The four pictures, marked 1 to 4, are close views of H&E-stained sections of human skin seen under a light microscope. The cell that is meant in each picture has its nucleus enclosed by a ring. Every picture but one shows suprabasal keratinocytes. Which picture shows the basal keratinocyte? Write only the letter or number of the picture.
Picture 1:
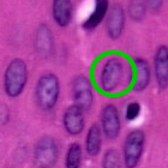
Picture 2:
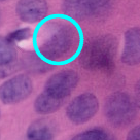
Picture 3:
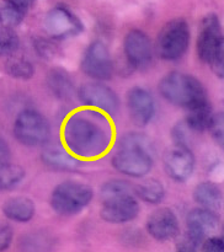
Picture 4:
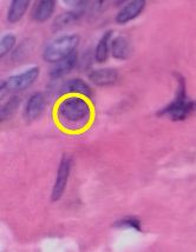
4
